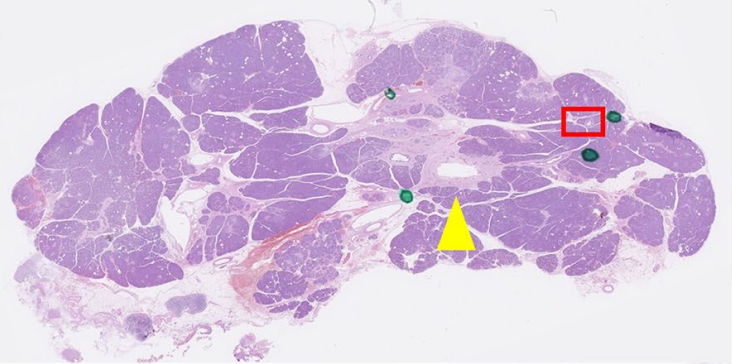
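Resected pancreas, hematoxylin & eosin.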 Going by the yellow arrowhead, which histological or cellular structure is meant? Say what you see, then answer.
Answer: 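Main pancreatic duct. The arrowhead points to the pale fibrous band running lengthwise through the centre of the section. That central band carries larger open duct lumina than the rest of the section. Lobules of purple glandular tissue lie on either side of the band.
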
